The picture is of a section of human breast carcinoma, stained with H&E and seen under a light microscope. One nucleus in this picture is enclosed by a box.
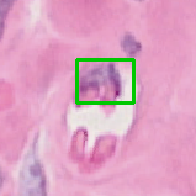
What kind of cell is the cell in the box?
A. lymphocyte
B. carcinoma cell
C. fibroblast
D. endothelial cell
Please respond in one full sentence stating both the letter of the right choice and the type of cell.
As the cell in the box is an endothelial cell, the correct choice is option D.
